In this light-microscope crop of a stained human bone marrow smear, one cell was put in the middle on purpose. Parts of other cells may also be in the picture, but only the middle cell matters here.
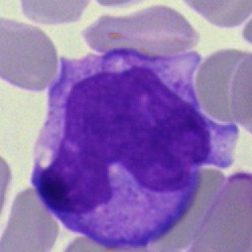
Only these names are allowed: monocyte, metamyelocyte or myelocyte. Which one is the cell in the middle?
monocyte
